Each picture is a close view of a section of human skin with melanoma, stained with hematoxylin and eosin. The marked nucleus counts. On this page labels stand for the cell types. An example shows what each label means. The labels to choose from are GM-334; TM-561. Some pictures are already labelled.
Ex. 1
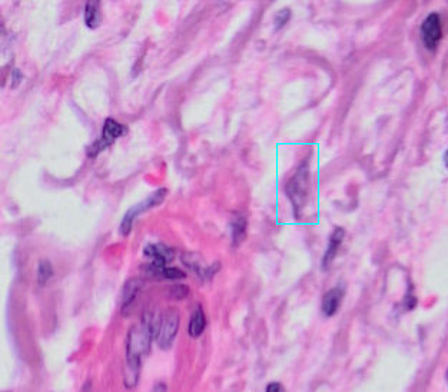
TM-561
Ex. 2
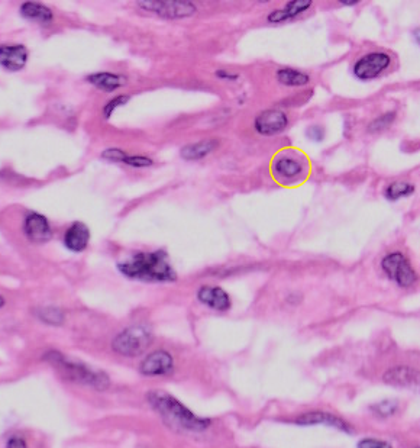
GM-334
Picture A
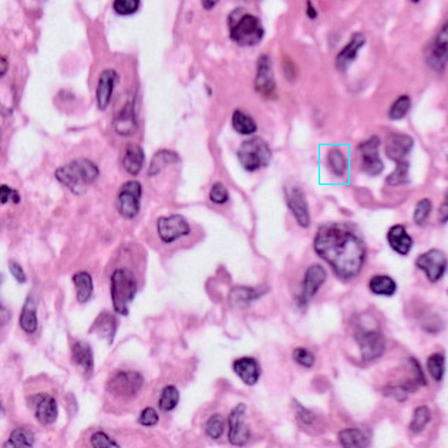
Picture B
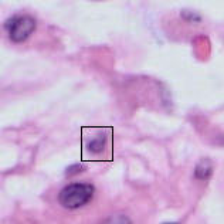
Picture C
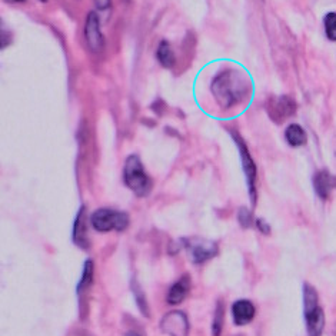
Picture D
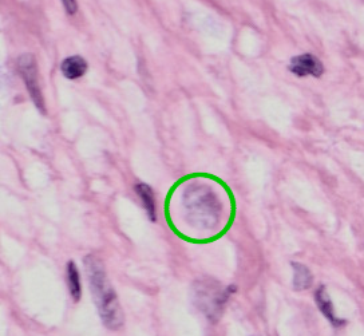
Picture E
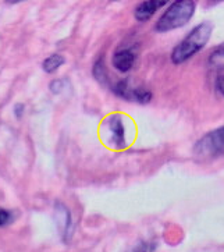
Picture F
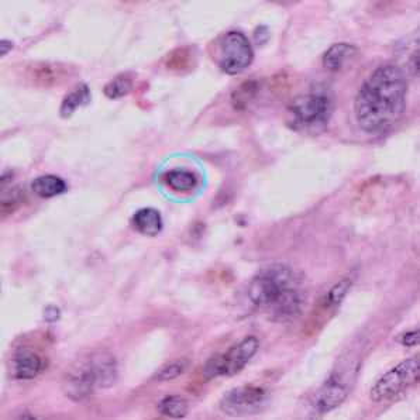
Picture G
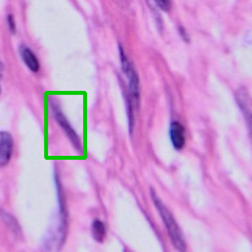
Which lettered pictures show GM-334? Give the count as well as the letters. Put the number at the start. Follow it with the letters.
3, namely A, B, F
